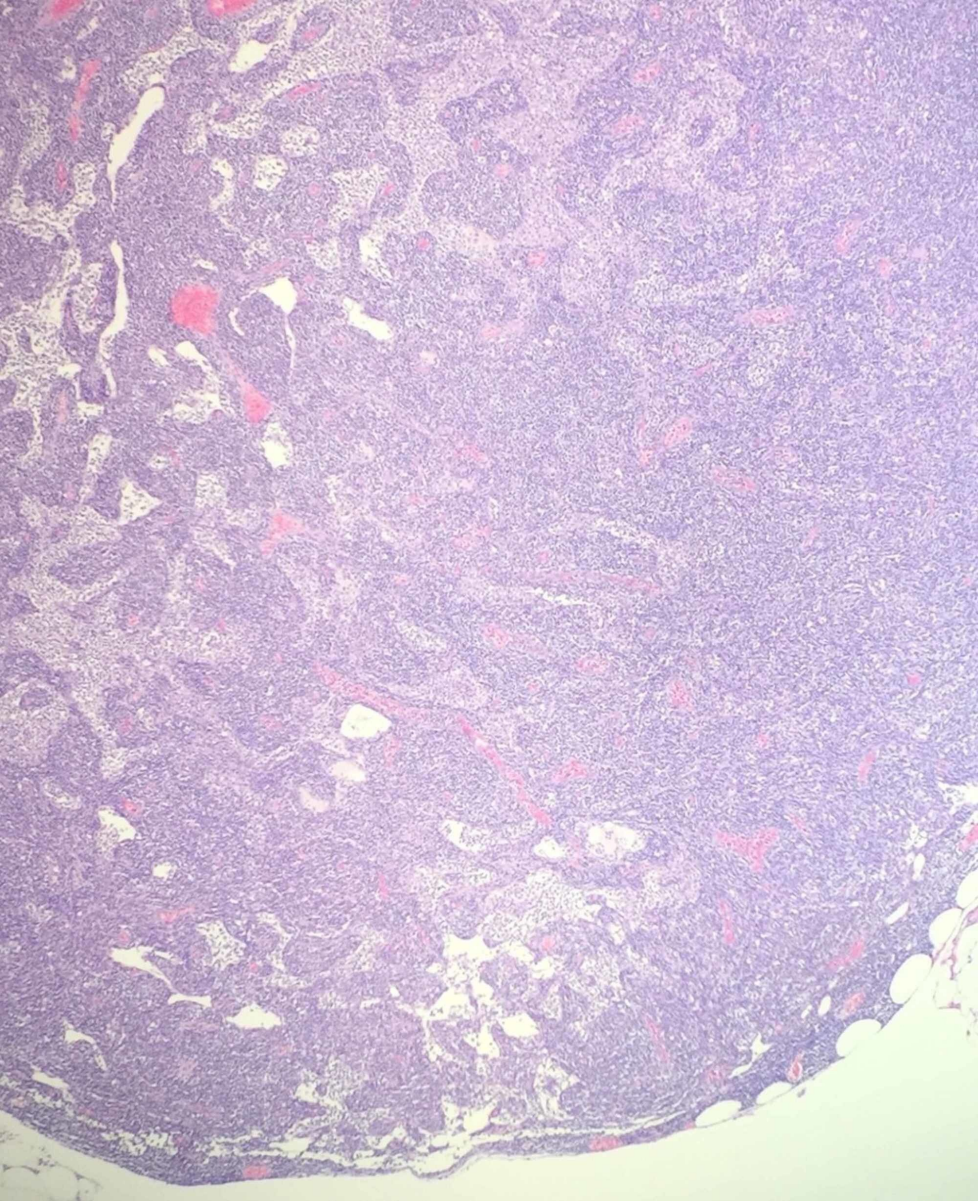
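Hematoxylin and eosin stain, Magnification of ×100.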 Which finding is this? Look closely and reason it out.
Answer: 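No rounded follicles with pale germinal centers are visible. Dark cells fill the node in diffuse, vaguely nodular sheets. Paler areas between the dark cells form an irregular network.
Effaced architecture.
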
